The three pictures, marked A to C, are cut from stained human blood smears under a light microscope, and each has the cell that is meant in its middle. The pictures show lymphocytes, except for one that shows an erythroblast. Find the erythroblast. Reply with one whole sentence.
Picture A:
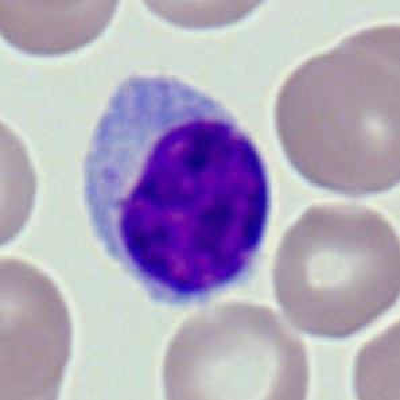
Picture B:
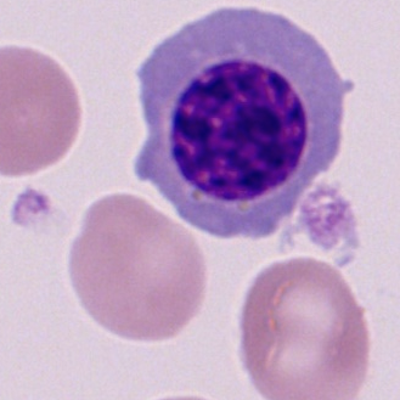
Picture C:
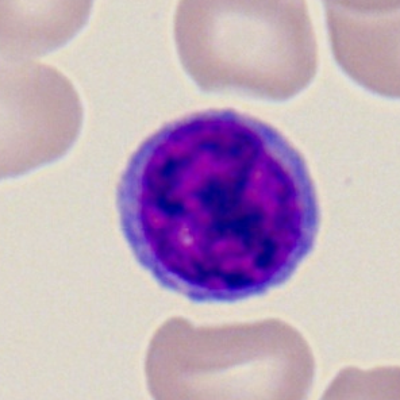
It is picture B that shows the erythroblast.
